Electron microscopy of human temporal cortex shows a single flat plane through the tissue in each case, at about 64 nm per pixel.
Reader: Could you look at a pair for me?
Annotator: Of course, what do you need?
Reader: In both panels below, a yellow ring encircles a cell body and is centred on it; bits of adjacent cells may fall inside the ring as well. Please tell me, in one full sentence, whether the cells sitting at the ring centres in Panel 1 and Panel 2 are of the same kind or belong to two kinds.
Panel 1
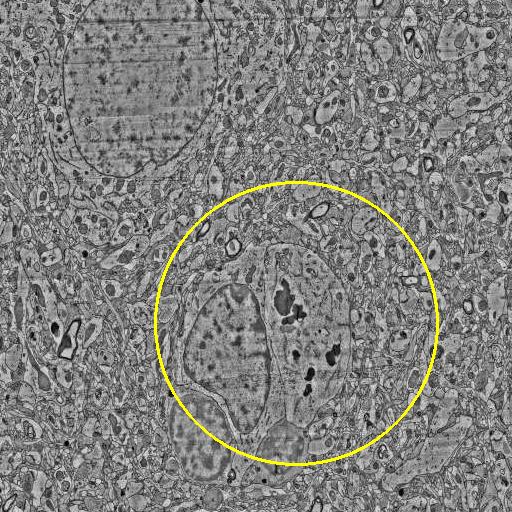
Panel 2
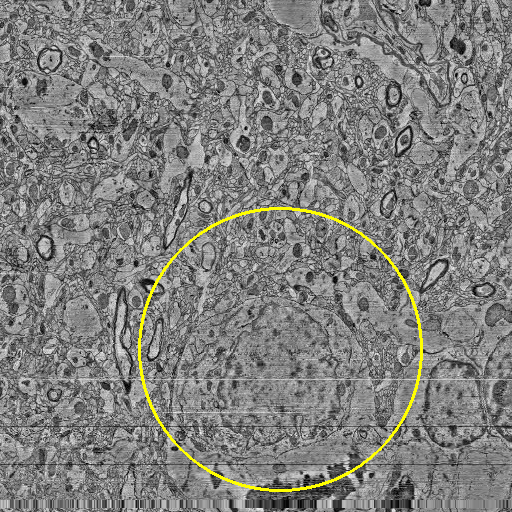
The cell at the ring's centre in Panel 1 and the one in Panel 2 are of the same kind.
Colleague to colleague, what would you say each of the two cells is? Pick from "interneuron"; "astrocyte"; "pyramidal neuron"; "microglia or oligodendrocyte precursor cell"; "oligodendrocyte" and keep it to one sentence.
Each of the two rings surrounds an interneuron.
